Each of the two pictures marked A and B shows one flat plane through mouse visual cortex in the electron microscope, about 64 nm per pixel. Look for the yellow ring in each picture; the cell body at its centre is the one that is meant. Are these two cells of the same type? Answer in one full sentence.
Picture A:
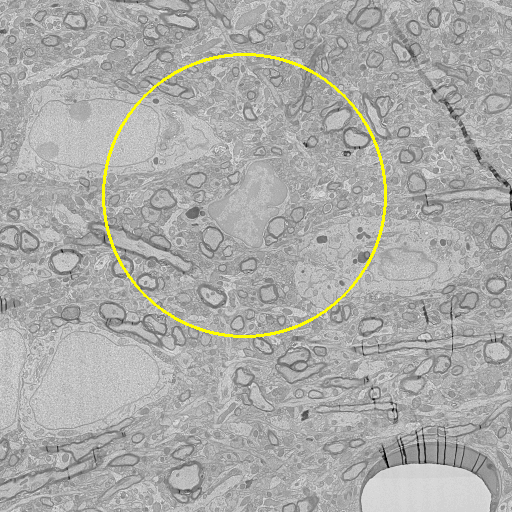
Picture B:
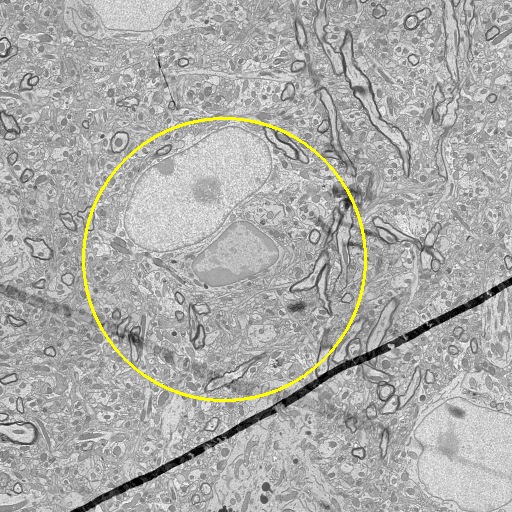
Yes; the cells in both pictures are microglial cells.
